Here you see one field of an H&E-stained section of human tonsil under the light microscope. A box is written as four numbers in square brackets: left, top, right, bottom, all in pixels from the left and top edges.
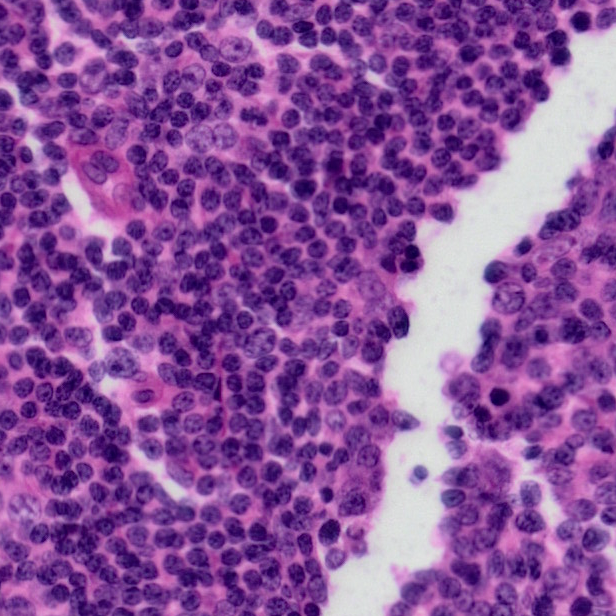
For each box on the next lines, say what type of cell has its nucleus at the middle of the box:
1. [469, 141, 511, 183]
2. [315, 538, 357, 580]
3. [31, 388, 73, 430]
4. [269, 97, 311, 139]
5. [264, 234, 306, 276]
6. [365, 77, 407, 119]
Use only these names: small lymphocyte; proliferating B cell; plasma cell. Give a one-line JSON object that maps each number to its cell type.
{"1": "proliferating B cell", "2": "proliferating B cell", "3": "small lymphocyte", "4": "small lymphocyte", "5": "small lymphocyte", "6": "small lymphocyte"}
